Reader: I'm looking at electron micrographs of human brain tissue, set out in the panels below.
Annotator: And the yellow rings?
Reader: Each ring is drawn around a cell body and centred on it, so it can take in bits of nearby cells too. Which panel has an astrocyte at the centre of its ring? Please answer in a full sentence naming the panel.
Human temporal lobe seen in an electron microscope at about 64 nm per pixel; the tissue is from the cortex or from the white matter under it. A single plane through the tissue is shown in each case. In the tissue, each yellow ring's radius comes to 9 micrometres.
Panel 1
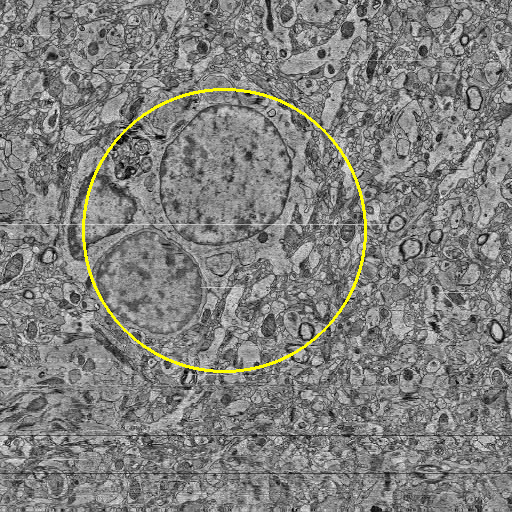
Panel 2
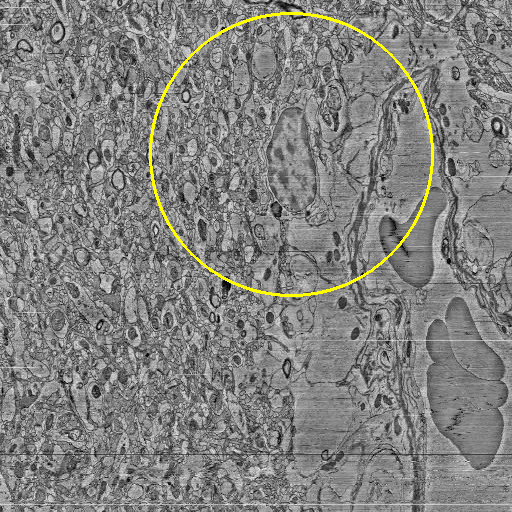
Panel 1 has it at the centre of its ring.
